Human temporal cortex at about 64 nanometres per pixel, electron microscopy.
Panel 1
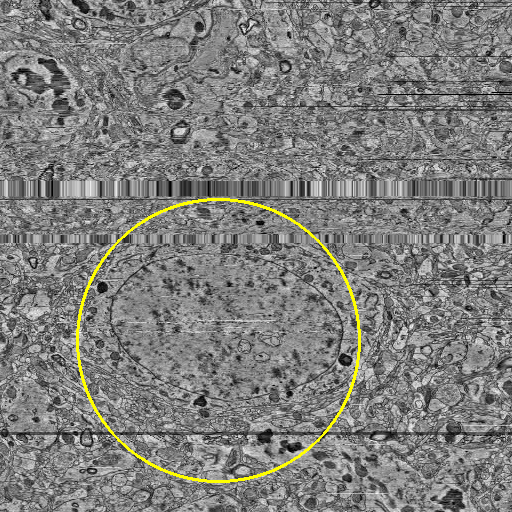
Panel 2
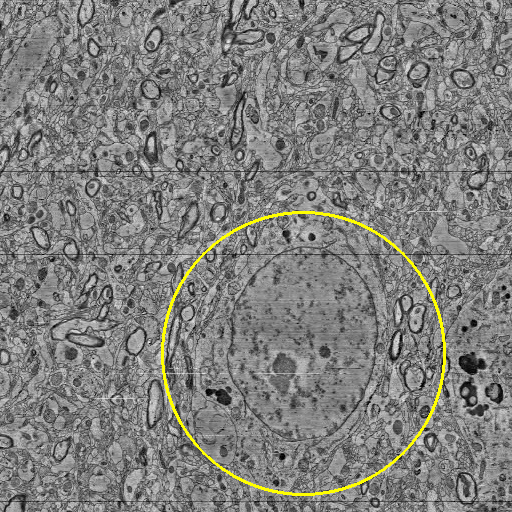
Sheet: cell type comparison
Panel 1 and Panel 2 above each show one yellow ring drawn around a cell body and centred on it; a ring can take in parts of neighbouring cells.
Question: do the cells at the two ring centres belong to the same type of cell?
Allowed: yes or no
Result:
yes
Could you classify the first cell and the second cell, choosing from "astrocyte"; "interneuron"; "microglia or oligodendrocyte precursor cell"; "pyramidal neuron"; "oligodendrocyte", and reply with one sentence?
Both pictures show a pyramidal neuron at the centre of the ring.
